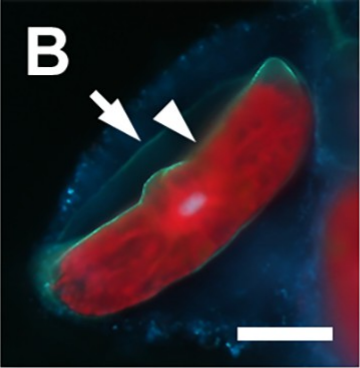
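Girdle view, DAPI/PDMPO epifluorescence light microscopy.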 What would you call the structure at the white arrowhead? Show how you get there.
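Initial epivalve. The arrowhead points to a faint green line at the edge of the red protoplast. A separate fainter outer line lies further out, marked by the arrow.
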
